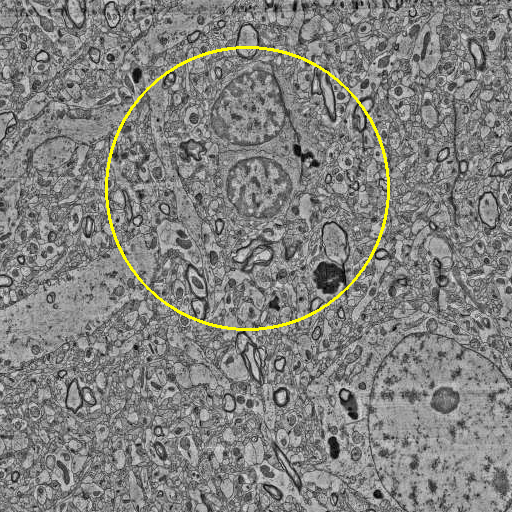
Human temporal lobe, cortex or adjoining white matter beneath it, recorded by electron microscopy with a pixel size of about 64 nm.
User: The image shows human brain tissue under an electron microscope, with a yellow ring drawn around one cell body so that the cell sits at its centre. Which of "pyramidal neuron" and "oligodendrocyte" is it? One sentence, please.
At the centre of the ring sits an oligodendrocyte.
